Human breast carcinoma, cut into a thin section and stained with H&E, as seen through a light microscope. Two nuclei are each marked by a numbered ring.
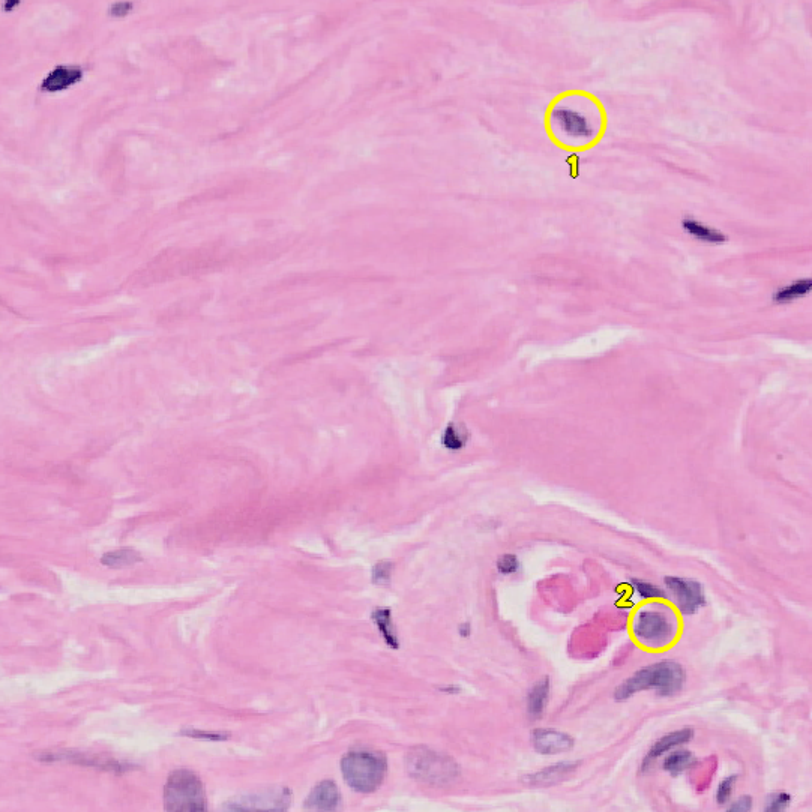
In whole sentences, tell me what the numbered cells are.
Cell 1 is a fibroblast. Cell 2 is an endothelial cell.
